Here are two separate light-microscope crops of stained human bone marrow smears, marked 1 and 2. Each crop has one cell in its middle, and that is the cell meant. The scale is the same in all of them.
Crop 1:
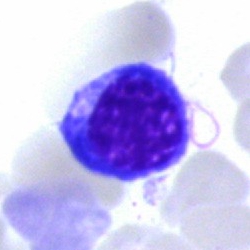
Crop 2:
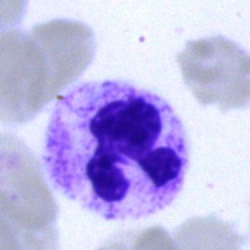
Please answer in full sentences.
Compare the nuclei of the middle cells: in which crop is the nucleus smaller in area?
Crop 2 shows the smaller nucleus, since that in crop 1 covers about 1.5 times as much area.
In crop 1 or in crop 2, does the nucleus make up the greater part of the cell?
The nucleus fills more of the cell in crop 1 than in crop 2.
